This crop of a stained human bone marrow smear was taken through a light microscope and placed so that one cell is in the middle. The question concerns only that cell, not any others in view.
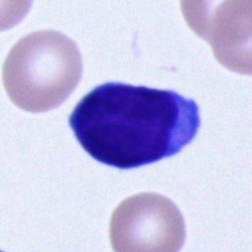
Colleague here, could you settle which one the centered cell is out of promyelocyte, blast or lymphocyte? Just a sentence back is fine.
In this crop, the cell at the very middle is a lymphocyte.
